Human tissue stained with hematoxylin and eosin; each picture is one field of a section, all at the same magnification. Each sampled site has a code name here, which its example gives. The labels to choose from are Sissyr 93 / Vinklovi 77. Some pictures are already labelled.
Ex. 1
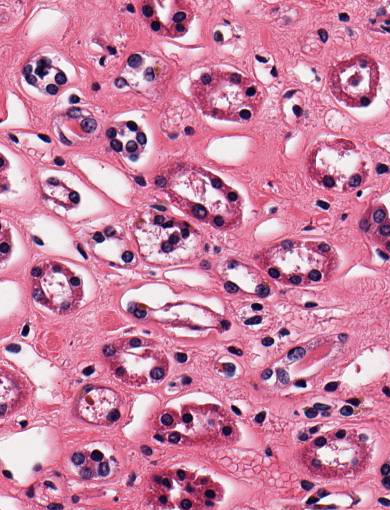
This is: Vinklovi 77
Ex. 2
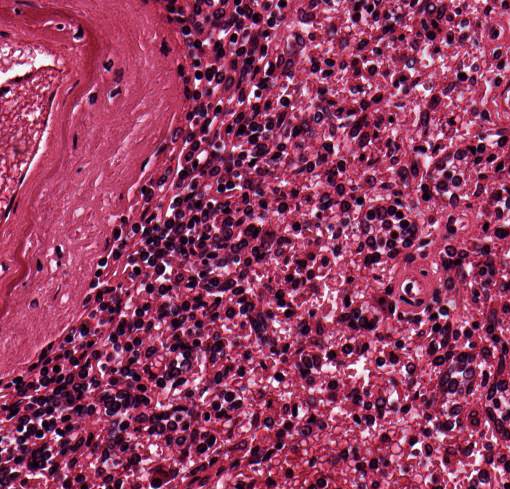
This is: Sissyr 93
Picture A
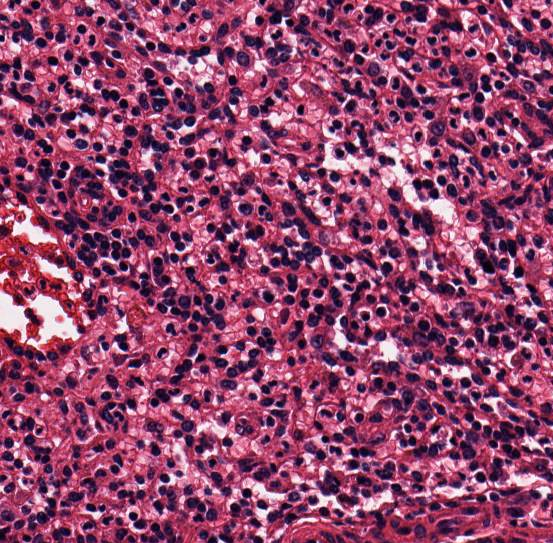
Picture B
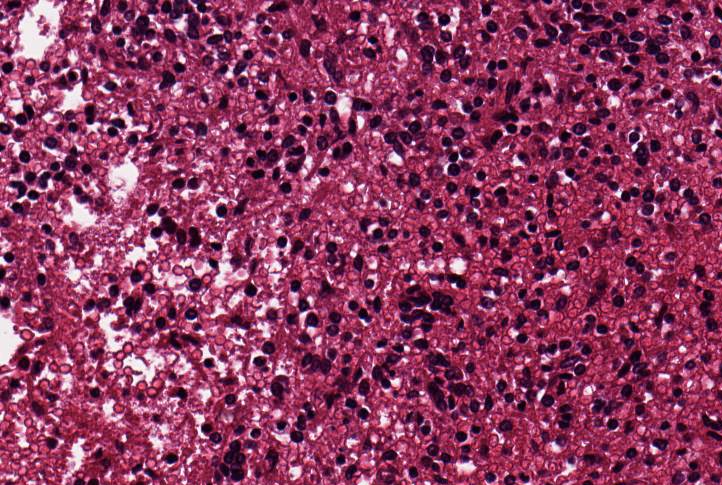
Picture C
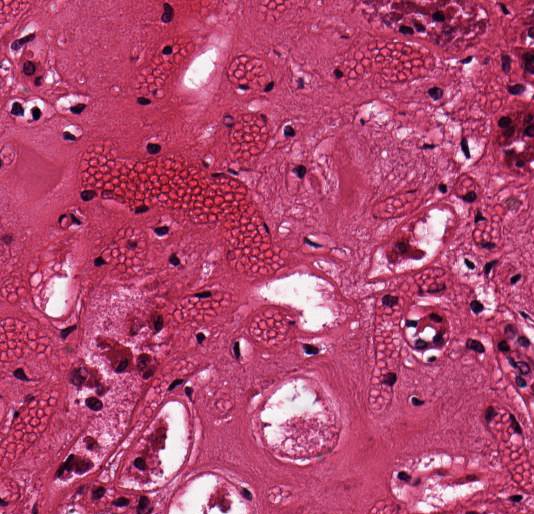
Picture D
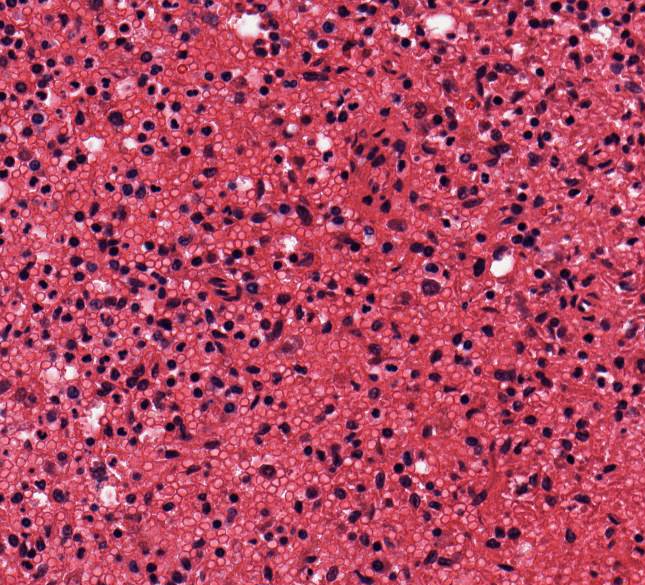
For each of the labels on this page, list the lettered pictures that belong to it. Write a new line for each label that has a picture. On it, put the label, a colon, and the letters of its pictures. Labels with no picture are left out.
Sissyr 93: A, B, D
Vinklovi 77: C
